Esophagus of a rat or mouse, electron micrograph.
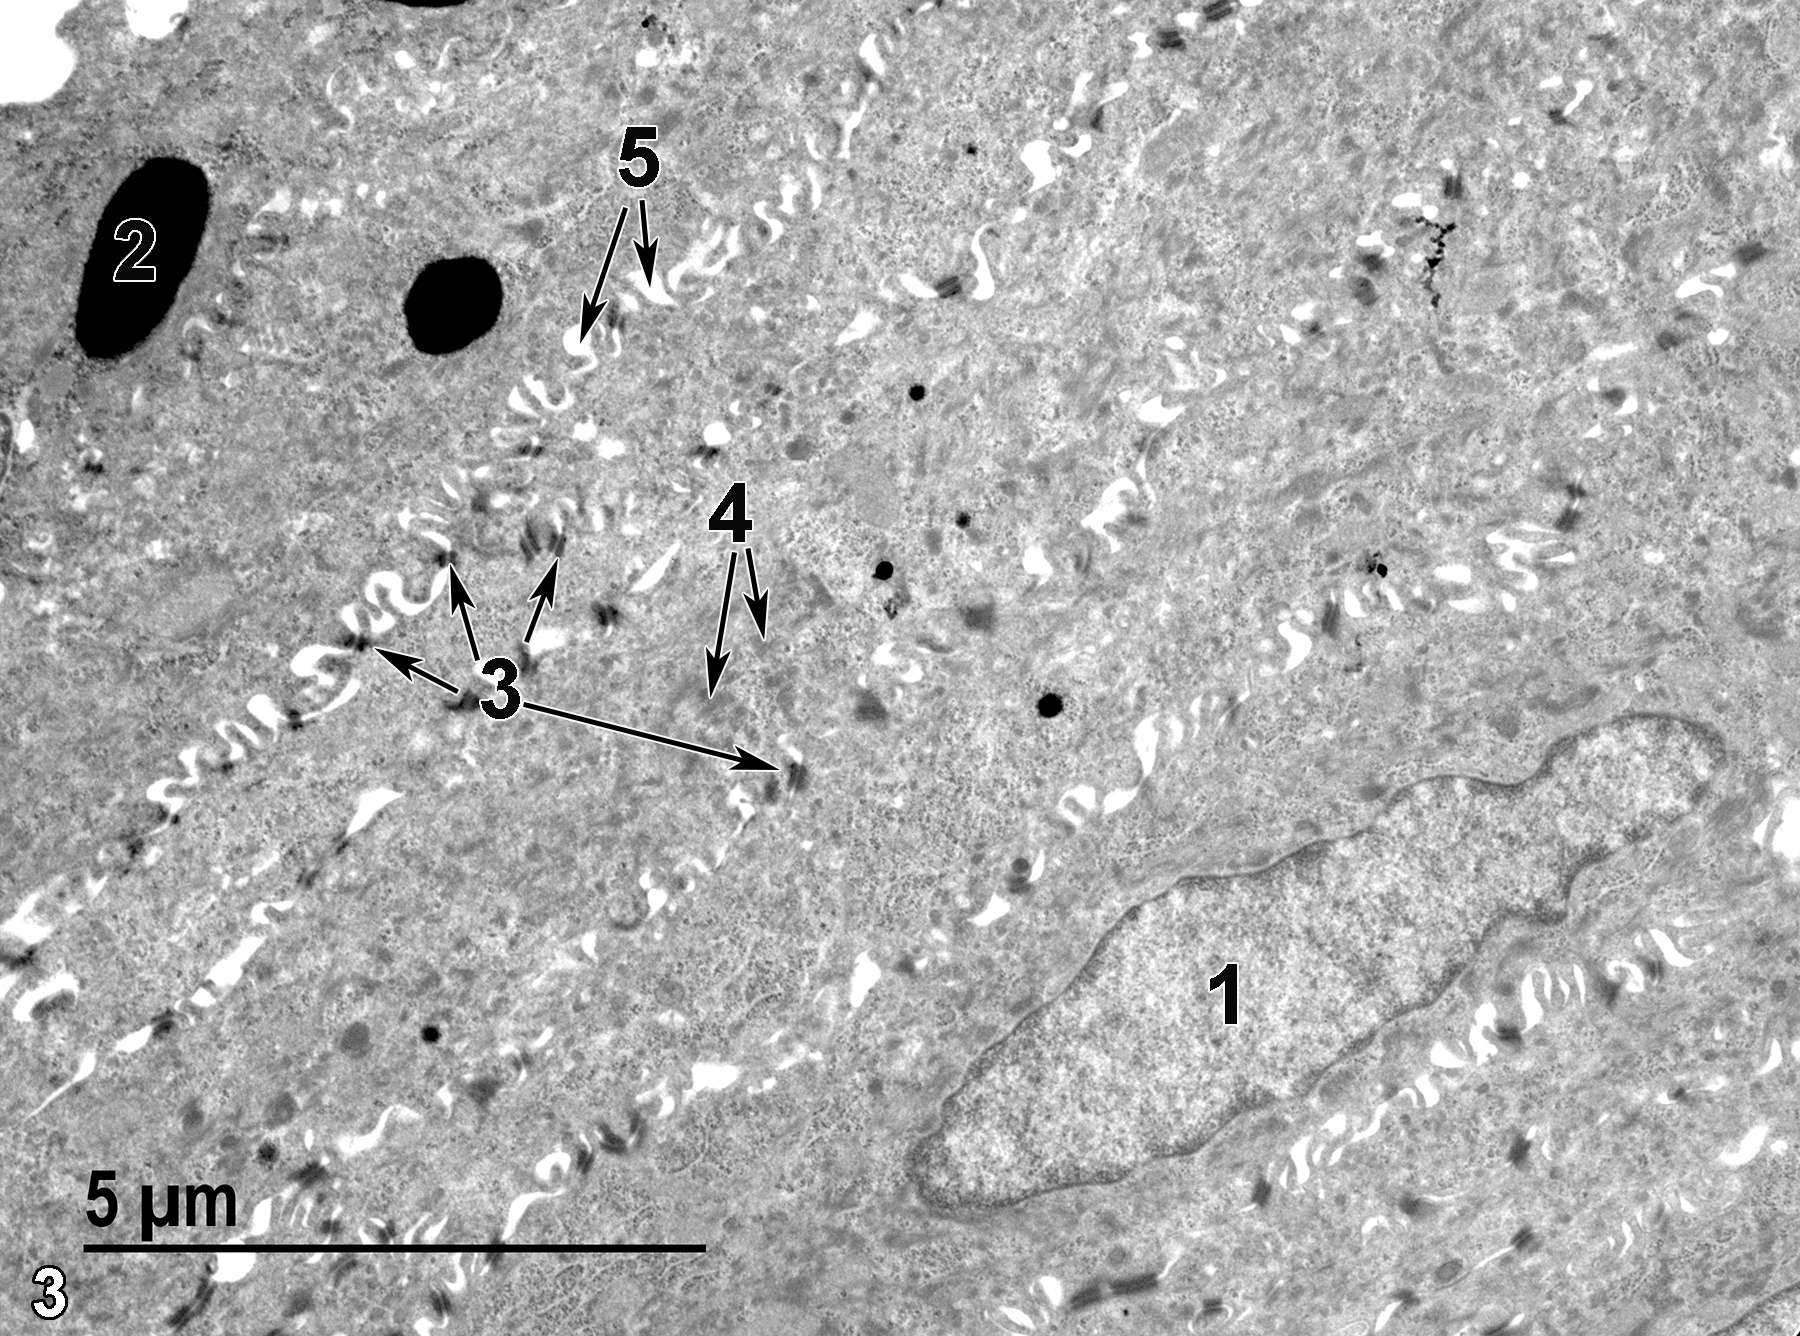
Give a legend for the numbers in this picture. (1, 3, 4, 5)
1 - elongated nucleus of an epithelial cell
3 - desmosomes
4 - bundles of tonofilaments
5 - intercellular spaces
